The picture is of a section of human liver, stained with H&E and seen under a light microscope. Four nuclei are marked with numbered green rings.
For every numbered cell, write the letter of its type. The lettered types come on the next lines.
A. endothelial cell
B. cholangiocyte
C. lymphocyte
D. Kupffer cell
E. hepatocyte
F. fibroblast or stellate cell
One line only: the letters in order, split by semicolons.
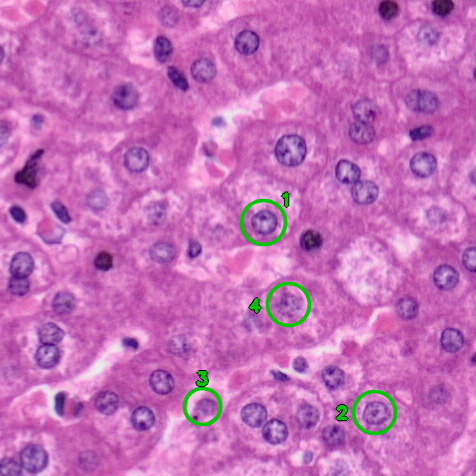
E; E; D; E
